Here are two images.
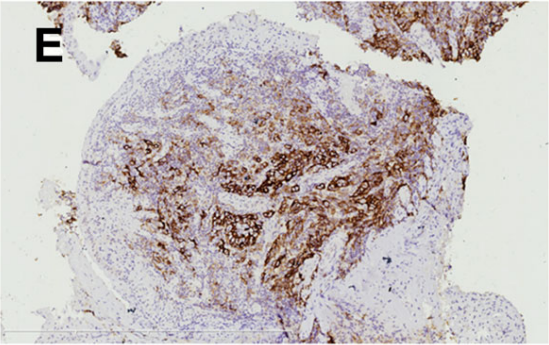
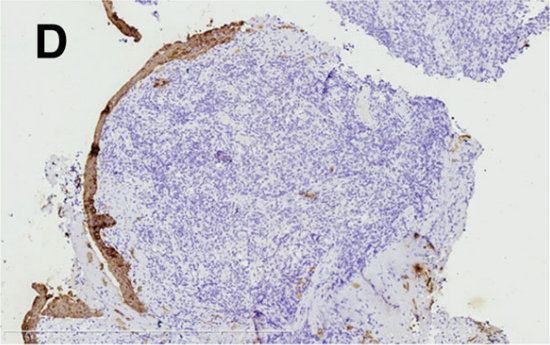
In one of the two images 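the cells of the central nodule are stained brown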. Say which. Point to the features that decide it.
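First image: the central cellular nodule shows extensive brown staining.
Answer: the first image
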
